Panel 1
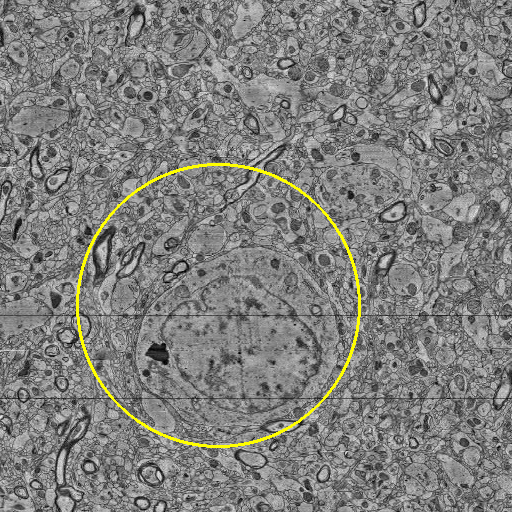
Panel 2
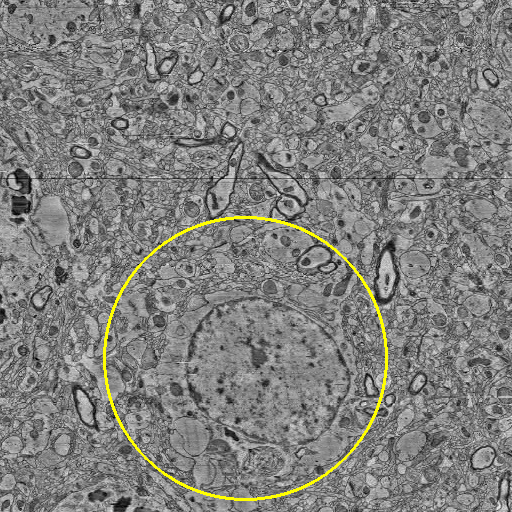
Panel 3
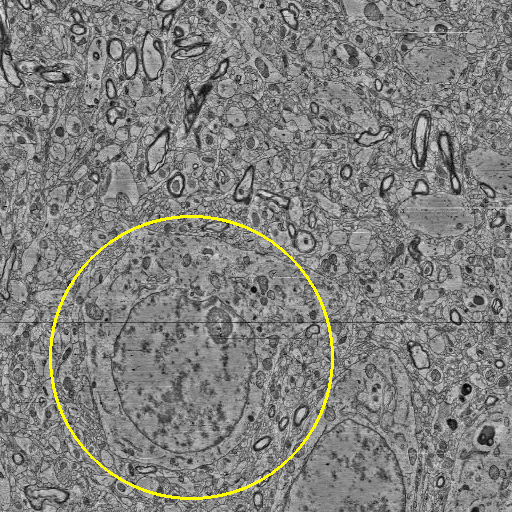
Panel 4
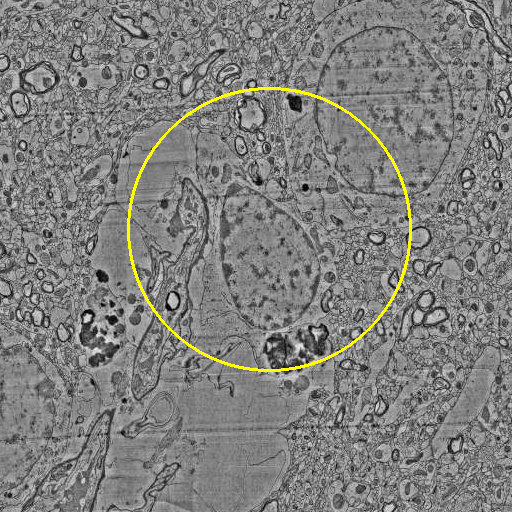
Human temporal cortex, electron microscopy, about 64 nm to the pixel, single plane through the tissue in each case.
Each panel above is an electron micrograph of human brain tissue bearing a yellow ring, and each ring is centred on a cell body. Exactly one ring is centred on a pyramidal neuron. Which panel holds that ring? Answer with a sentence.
That ring is in Panel 3.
